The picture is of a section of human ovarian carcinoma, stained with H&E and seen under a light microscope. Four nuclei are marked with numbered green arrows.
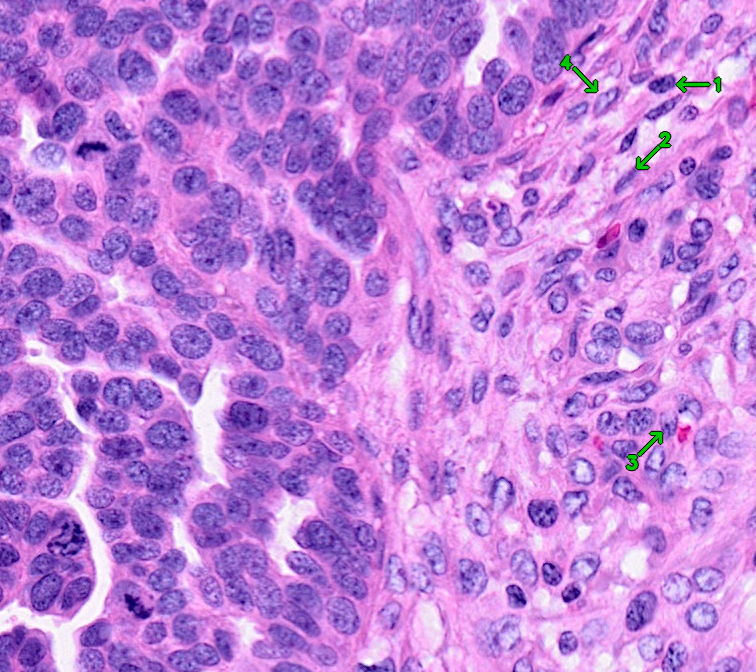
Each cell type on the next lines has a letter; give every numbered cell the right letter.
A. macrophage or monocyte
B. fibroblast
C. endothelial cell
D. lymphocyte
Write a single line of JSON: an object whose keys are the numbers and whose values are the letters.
{"1": "D", "2": "B", "3": "C", "4": "B"}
